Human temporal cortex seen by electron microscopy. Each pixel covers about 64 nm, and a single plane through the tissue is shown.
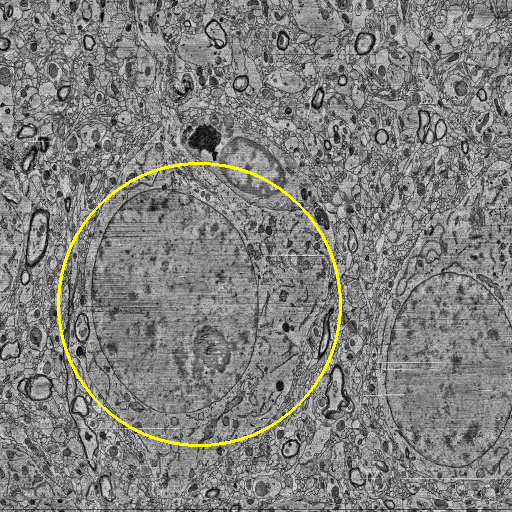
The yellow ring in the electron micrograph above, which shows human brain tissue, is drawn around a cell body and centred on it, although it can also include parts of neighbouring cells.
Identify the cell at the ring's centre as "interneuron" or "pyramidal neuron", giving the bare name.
pyramidal neuron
